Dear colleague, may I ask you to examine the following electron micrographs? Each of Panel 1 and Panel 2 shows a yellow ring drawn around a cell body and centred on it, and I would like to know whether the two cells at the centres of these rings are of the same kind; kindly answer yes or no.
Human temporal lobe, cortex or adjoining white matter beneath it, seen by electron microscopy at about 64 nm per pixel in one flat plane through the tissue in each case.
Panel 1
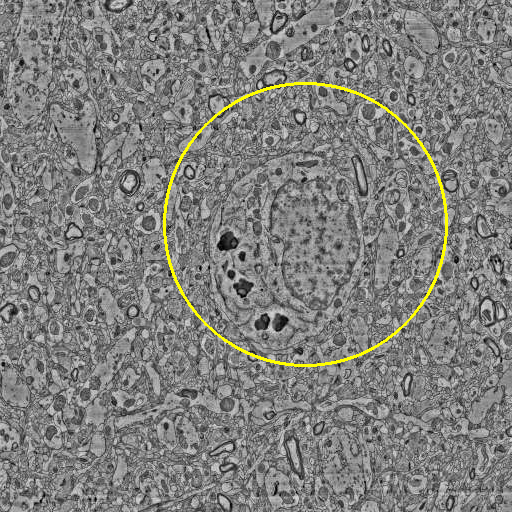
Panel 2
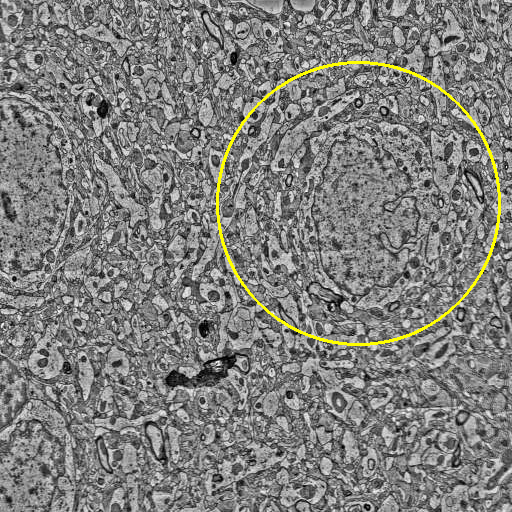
yes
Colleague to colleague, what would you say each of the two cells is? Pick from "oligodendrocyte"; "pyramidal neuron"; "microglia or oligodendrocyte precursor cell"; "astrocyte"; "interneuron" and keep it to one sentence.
Both cells are the same kind, each one being an interneuron.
